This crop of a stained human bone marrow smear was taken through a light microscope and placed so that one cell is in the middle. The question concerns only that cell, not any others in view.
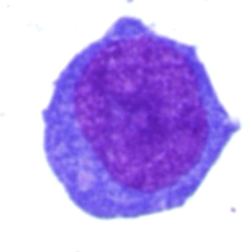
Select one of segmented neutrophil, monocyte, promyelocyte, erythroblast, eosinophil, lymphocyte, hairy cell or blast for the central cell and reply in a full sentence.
In the crop, the cell of interest at the centre is a blast.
